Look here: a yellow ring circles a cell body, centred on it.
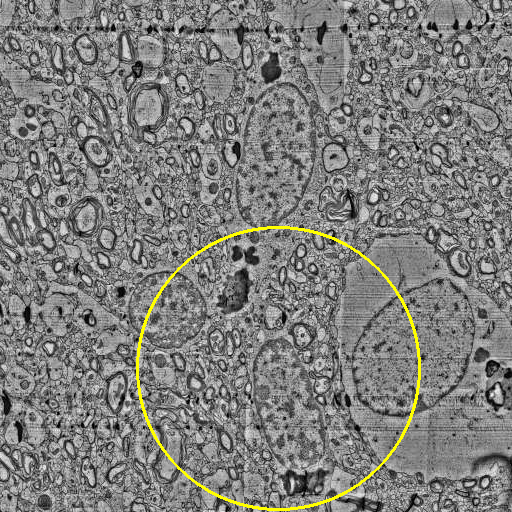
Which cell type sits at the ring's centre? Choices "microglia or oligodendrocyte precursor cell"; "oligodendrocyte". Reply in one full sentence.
The cell at the centre of the yellow ring in the picture is an oligodendrocyte.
